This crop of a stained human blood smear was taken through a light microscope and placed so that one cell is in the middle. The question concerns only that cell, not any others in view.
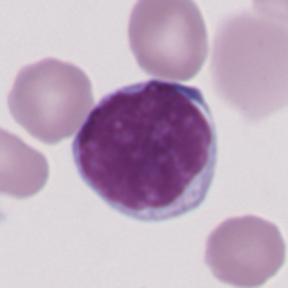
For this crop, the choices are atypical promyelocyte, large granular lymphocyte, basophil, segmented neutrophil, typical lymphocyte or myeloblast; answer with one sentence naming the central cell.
In the centre of this crop there is a typical lymphocyte.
